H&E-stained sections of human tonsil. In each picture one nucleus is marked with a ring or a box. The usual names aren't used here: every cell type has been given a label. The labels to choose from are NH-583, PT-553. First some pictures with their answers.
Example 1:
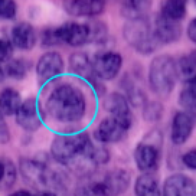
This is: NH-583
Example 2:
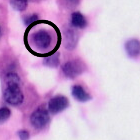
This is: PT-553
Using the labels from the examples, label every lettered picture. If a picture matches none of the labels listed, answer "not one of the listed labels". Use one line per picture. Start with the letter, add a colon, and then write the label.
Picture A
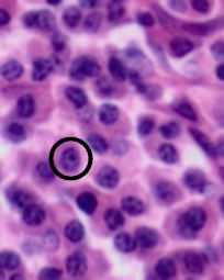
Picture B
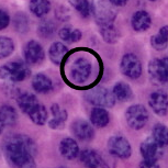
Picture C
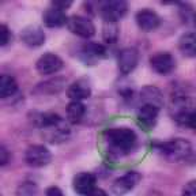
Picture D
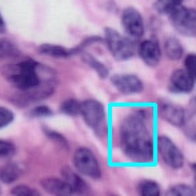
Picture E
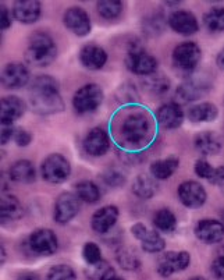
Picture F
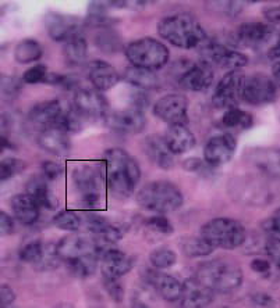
A: PT-553
B: PT-553
C: NH-583
D: NH-583
E: PT-553
F: NH-583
